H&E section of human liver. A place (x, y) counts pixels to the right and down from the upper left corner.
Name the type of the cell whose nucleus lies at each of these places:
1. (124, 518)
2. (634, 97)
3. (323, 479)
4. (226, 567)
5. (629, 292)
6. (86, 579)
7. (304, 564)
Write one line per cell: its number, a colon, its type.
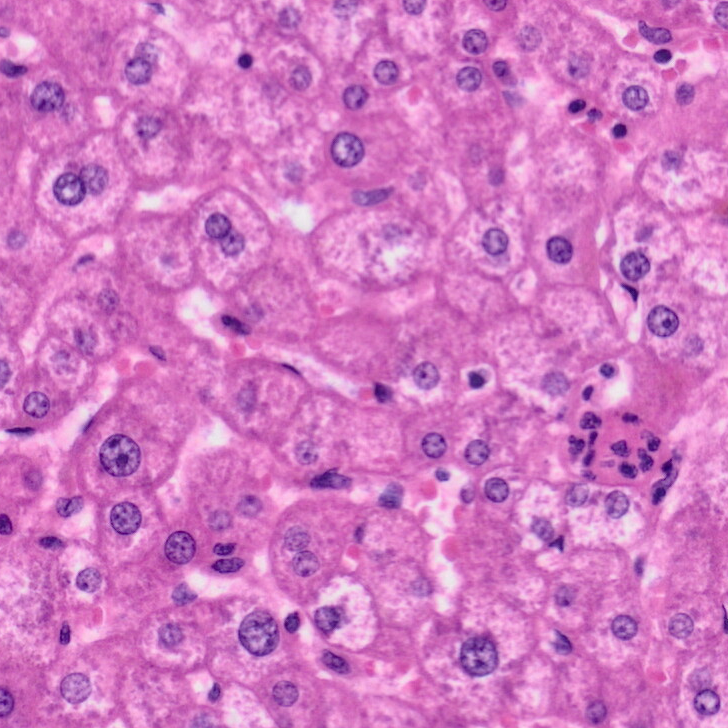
1: hepatocyte
2: hepatocyte
3: fibroblast or stellate cell
4: Kupffer cell
5: endothelial cell
6: hepatocyte
7: hepatocyte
